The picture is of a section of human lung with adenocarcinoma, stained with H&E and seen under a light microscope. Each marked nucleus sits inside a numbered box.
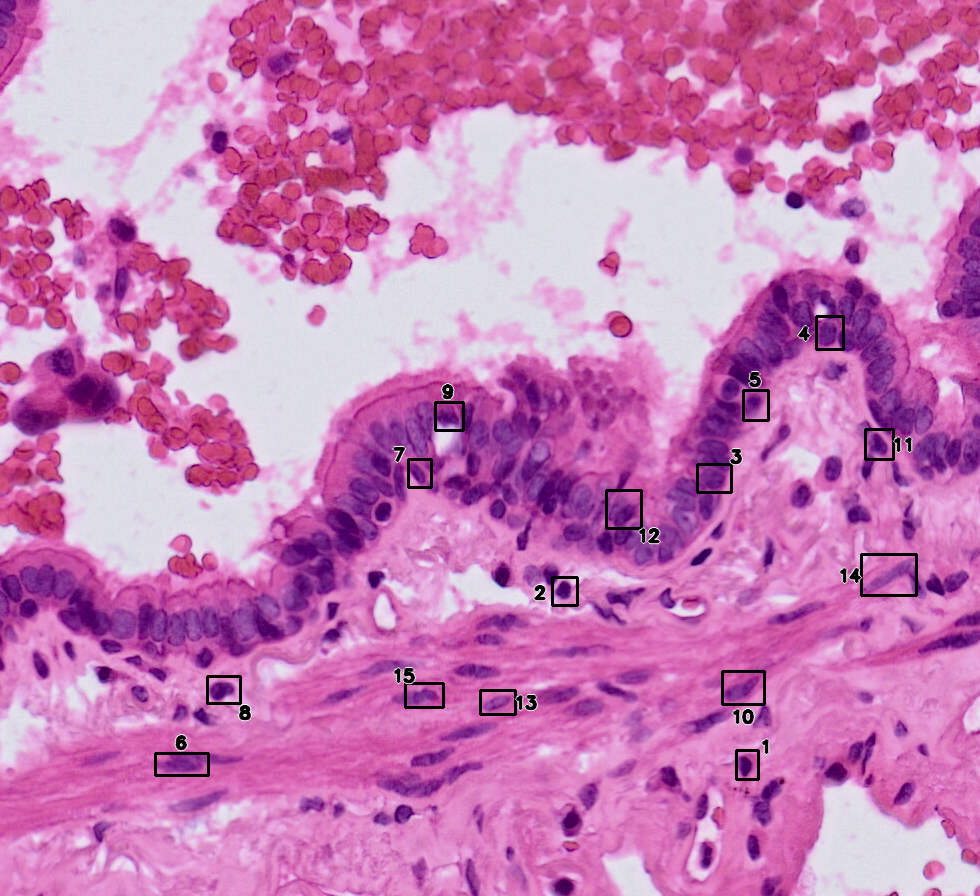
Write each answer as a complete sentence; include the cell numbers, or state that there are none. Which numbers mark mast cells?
The nucleus numbered 1 is the only one that belongs to a mast cell.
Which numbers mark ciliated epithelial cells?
The cells identified by the numbers 3, 4, 5, 7, 9 and 12 are ciliated epithelial cells.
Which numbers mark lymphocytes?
The cells referred to by numbers 2, 8 and 11 are lymphocytes.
